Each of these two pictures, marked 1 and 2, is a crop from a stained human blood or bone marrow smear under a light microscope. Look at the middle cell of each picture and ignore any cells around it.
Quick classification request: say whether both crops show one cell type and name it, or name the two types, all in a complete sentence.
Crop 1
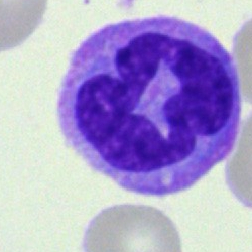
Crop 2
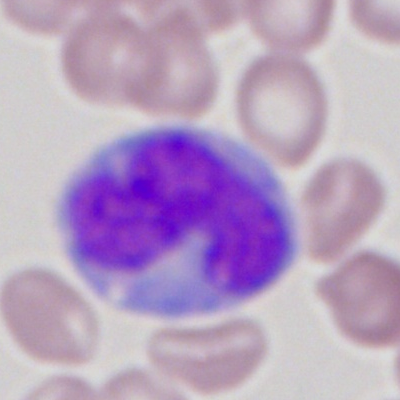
Yes, put down monocytes for both crops.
